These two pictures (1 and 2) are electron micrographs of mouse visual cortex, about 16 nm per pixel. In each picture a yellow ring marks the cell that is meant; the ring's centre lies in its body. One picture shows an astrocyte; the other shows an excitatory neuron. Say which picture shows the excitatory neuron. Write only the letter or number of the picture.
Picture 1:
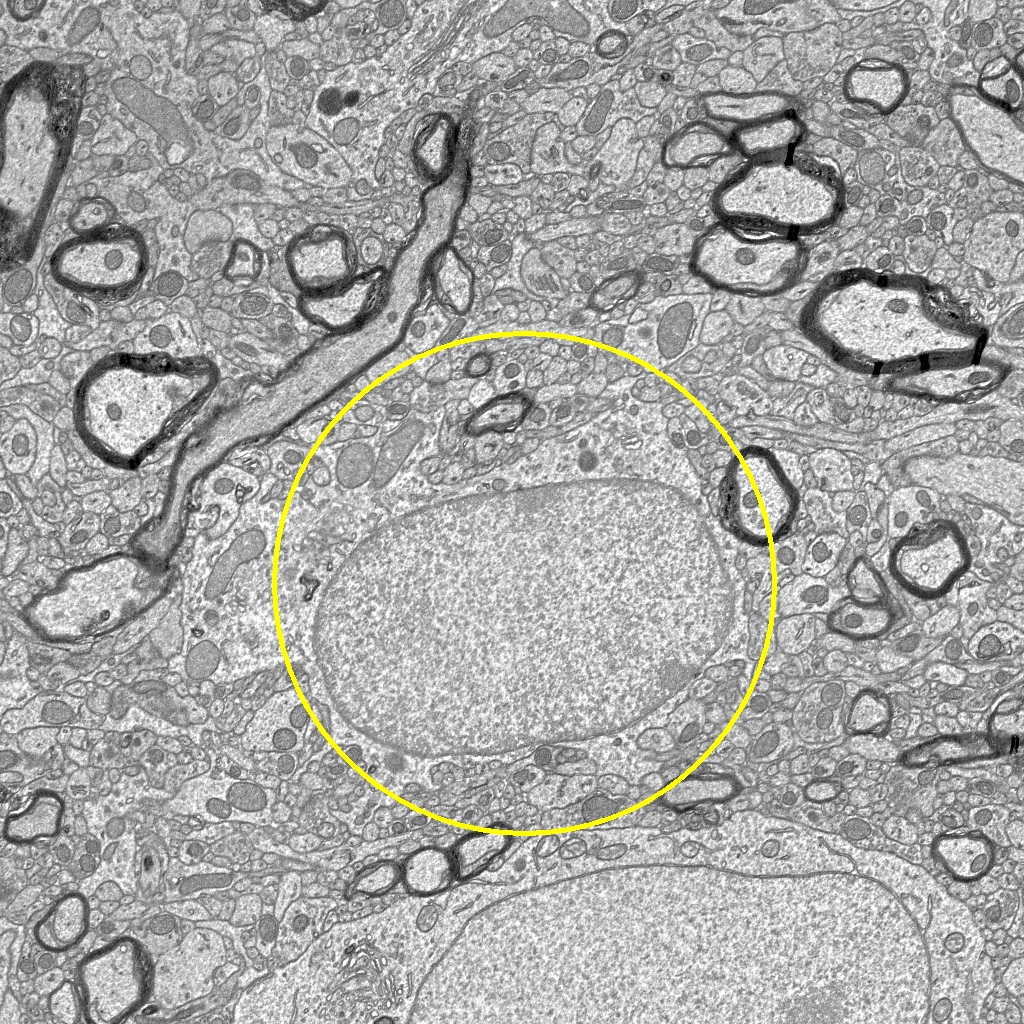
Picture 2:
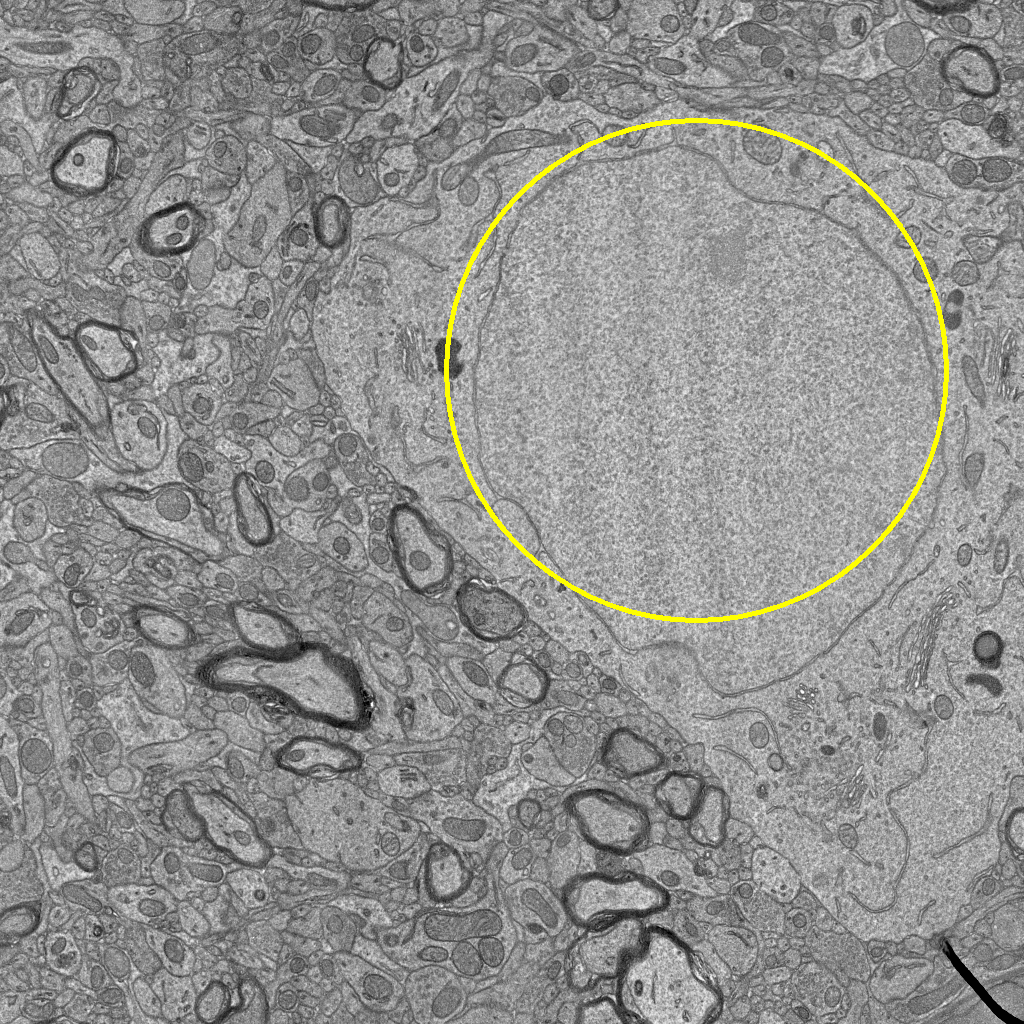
2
